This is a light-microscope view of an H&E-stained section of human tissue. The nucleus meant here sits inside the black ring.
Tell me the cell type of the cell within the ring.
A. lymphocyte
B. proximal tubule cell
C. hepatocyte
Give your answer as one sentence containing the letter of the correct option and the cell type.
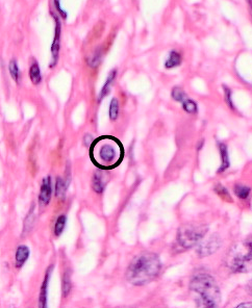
Option A wins here: the cell within the ring is a lymphocyte.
